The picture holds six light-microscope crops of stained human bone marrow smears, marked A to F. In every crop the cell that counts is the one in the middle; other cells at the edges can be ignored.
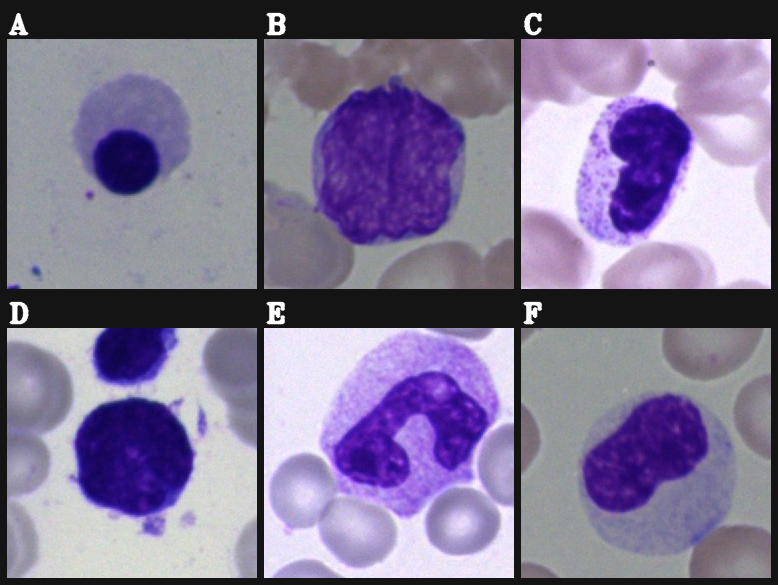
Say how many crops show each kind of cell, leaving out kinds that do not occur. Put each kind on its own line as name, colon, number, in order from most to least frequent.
band neutrophil: 3
blast: 2
erythroblast: 1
